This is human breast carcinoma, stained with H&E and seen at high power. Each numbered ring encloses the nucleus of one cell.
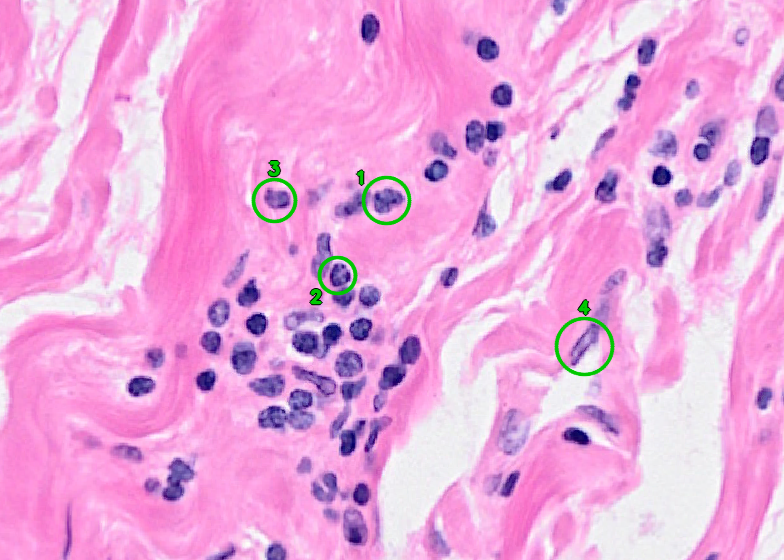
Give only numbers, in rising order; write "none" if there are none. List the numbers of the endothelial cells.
4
